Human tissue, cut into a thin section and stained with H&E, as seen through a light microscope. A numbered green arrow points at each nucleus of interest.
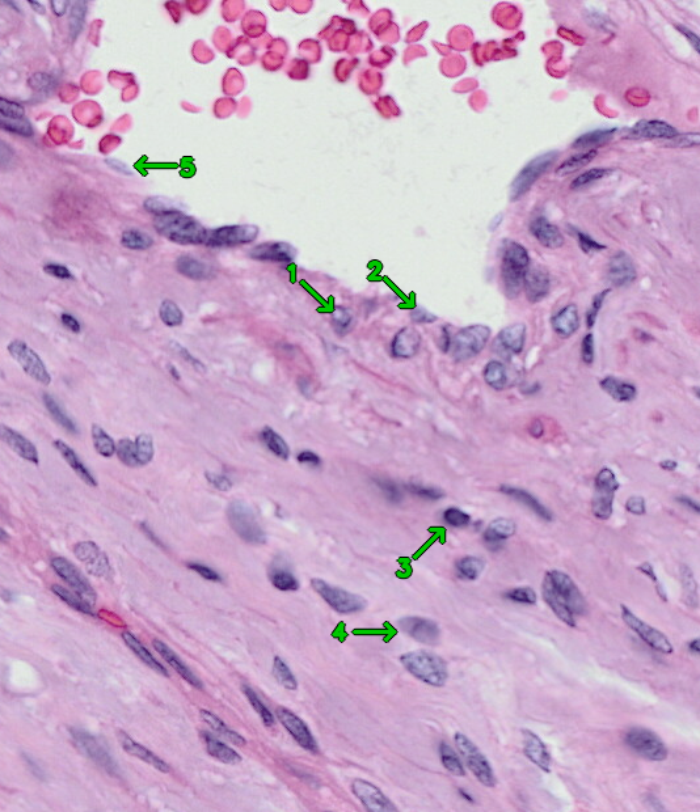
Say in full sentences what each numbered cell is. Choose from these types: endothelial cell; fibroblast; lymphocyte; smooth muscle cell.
Cell 1 is a smooth muscle cell, cell 2 is an endothelial cell, cell 3 is a lymphocyte, cell 4 is a fibroblast and cell 5 is an endothelial cell.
